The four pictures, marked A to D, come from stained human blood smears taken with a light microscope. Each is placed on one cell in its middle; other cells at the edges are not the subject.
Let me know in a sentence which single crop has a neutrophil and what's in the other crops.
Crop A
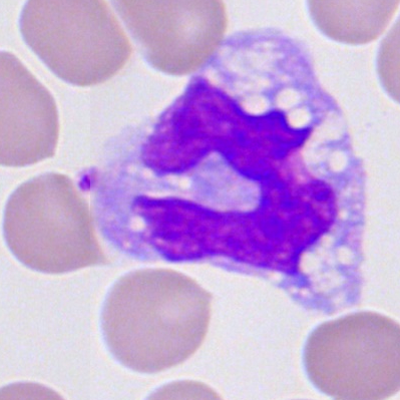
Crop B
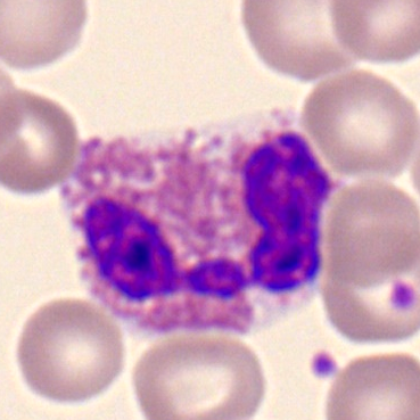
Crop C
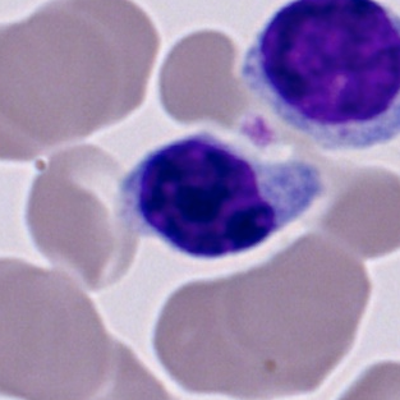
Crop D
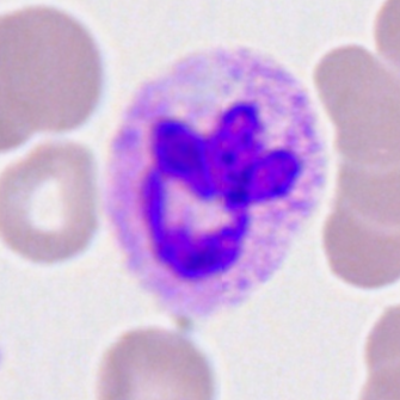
So crop D shows a neutrophil, while crop A is a monocyte, crop B is an eosinophil and crop C is a lymphocyte.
